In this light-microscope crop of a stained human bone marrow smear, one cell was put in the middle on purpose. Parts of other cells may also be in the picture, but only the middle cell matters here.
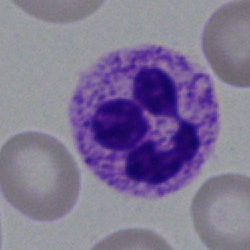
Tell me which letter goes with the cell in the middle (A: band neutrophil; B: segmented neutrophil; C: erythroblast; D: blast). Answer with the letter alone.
B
